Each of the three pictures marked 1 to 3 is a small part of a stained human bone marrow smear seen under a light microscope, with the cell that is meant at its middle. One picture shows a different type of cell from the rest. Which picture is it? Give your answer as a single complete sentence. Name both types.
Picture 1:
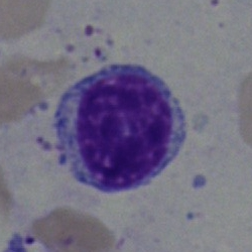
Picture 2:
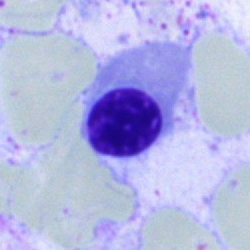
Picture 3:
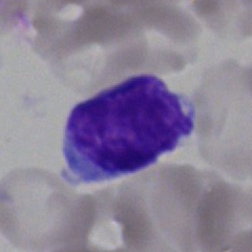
All pictures except 2 show lymphocytes; picture 2 shows an erythroblast.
